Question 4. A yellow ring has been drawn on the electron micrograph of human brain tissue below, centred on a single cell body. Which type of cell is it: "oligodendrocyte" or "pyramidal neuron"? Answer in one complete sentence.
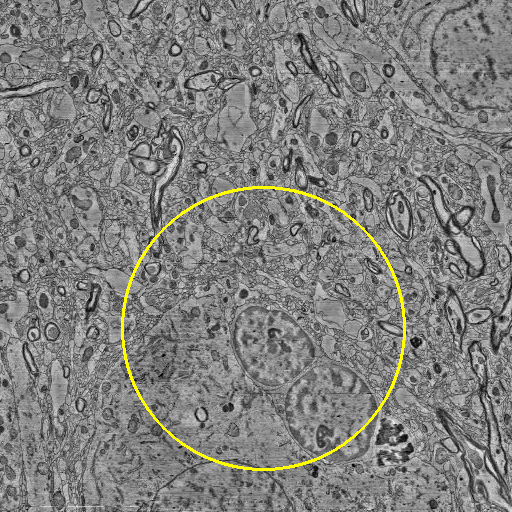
This cell body belongs to an oligodendrocyte.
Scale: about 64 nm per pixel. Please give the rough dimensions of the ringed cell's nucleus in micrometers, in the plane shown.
The nucleus appears roughly 6 by 4 micrometres in this plane.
